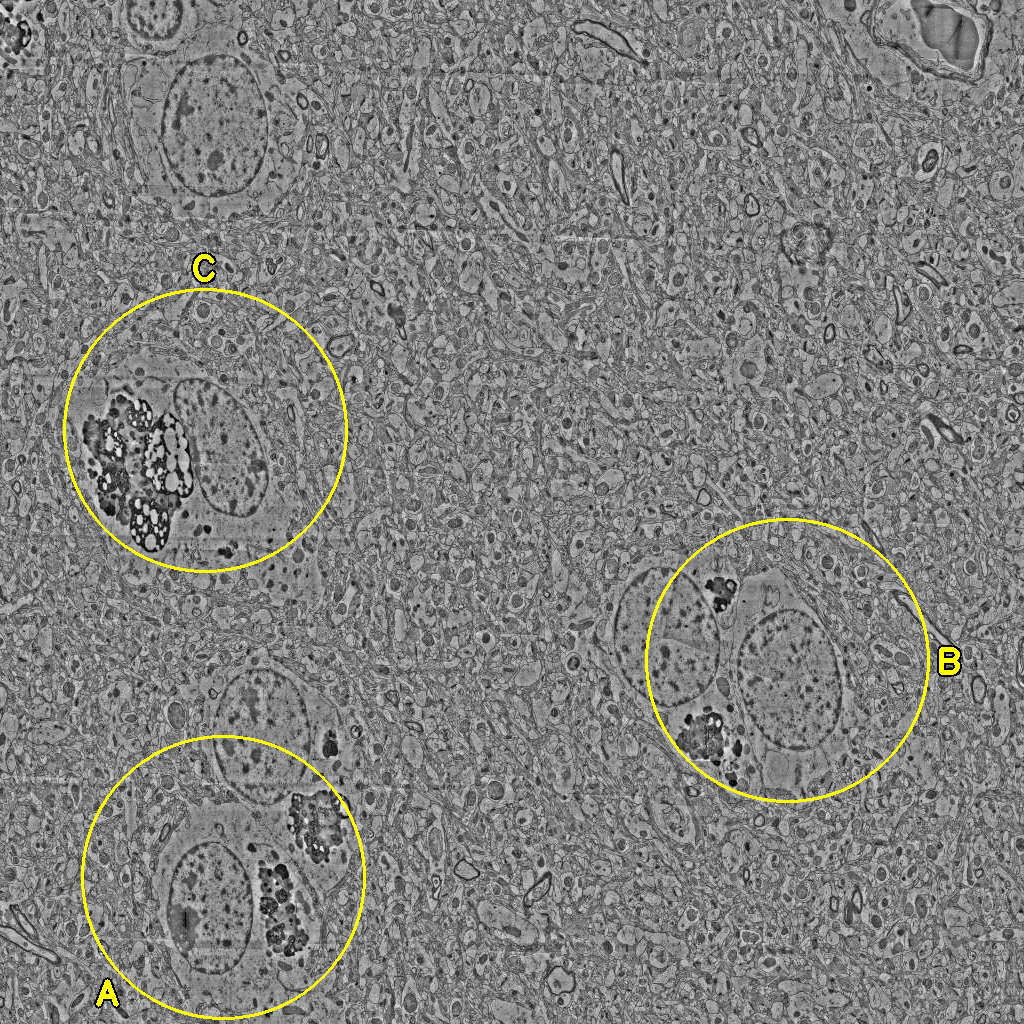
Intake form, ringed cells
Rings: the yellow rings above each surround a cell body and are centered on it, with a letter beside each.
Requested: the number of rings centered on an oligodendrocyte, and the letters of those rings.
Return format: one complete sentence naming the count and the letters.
Among the lettered rings, none has an oligodendrocyte at its centre, which makes the tally zero.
